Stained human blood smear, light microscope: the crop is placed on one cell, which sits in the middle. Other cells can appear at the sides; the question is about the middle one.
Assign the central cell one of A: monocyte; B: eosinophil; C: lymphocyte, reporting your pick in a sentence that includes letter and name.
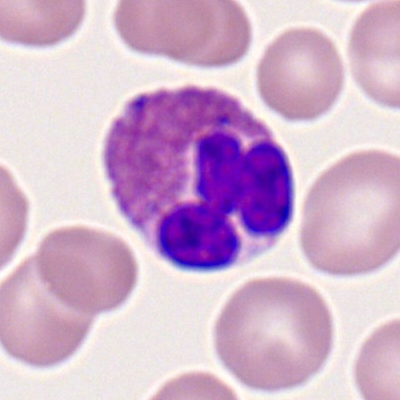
This one is option B, since the cell at the center is an eosinophil.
